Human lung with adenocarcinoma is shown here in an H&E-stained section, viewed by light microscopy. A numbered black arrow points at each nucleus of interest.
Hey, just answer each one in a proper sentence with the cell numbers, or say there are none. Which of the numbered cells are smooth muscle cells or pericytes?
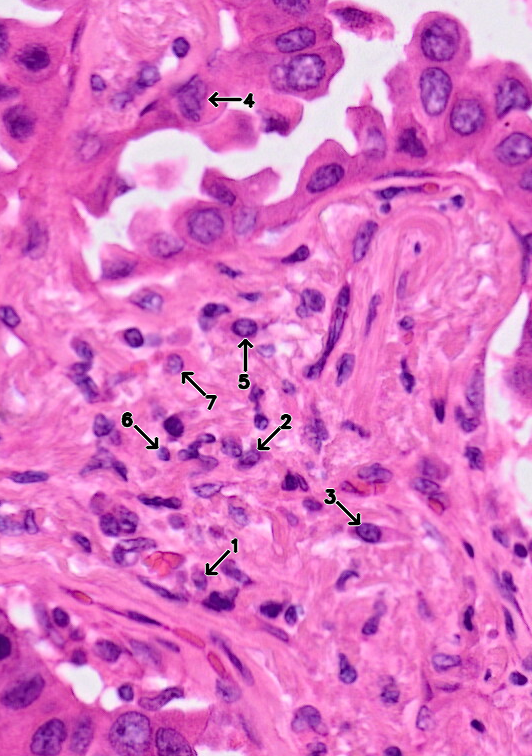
Whichever numbered cell is considered, it is not one of the smooth muscle cells or pericytes.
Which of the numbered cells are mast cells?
The cell bearing the number 7 is a mast cell, unlike the rest of the numbered cells.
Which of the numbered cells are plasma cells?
The cells that have been numbered 1, 2, 3 and 5 are plasma cells.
